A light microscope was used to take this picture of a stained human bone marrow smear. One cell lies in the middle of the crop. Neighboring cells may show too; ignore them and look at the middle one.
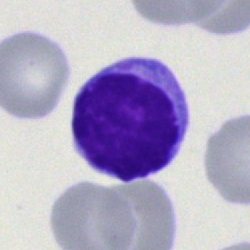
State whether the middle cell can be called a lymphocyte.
yes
